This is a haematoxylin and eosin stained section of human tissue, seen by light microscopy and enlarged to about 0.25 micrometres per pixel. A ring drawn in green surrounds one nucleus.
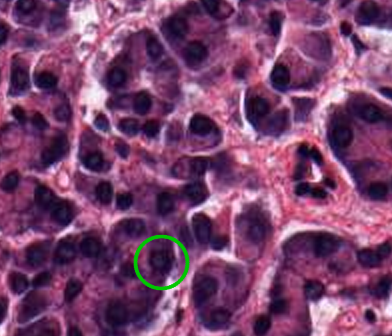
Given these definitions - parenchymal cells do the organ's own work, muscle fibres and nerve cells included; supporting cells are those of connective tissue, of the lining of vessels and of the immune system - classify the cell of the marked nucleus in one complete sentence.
The marked nucleus is that of a parenchymal cell, specifically a pancreatic acinar cell.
